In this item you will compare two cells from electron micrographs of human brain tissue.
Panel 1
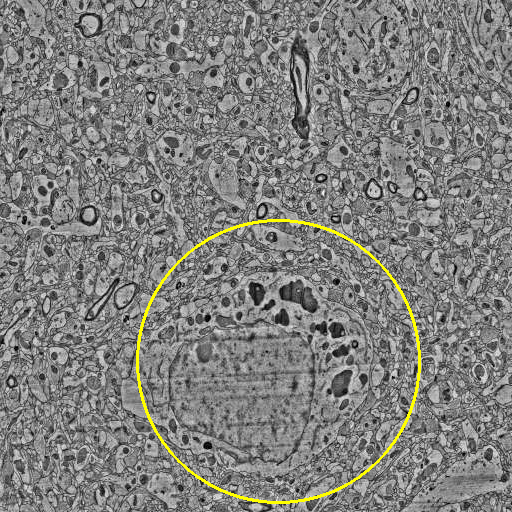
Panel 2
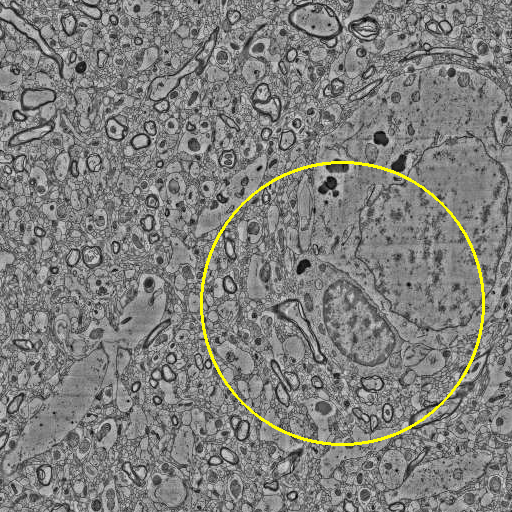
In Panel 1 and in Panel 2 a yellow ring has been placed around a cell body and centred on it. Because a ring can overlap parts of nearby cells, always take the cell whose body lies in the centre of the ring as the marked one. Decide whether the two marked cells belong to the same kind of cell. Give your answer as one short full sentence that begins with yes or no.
No, the two marked cells belong to two kinds of cell.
